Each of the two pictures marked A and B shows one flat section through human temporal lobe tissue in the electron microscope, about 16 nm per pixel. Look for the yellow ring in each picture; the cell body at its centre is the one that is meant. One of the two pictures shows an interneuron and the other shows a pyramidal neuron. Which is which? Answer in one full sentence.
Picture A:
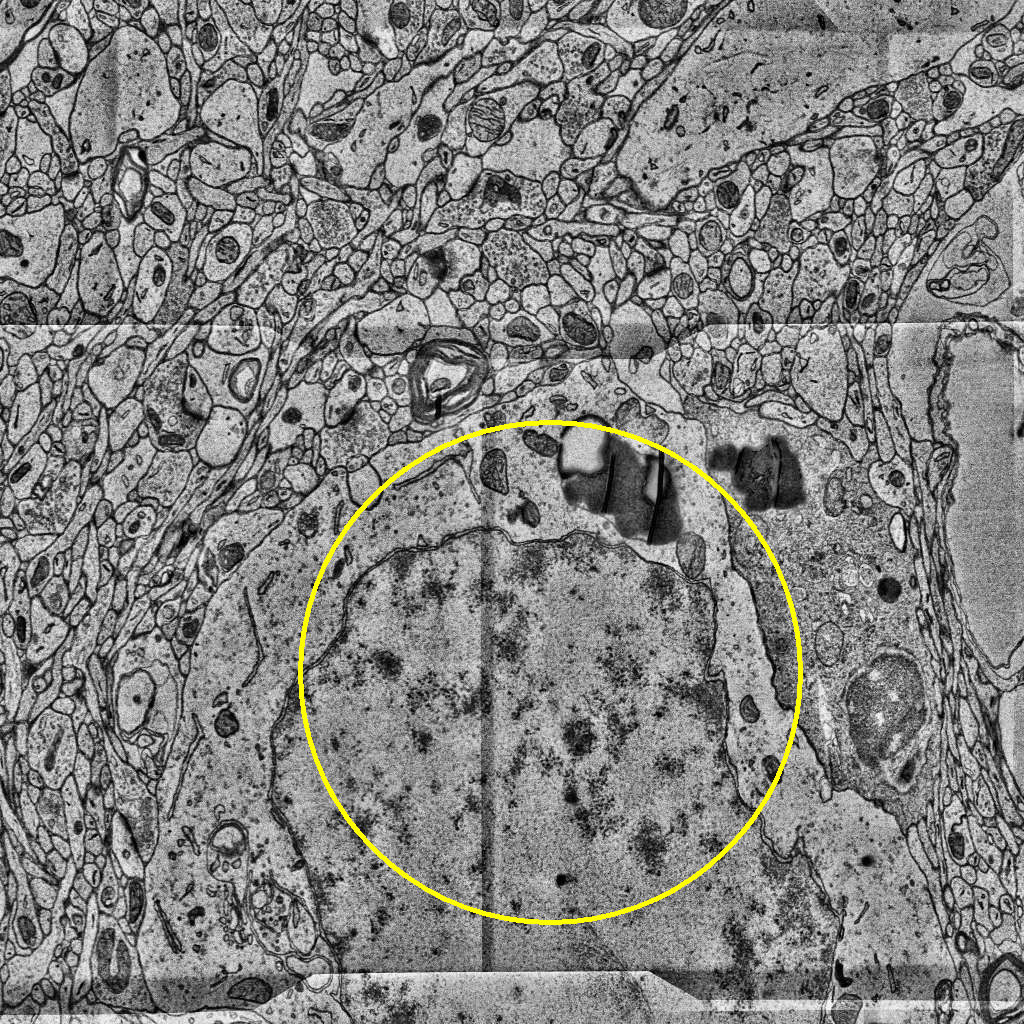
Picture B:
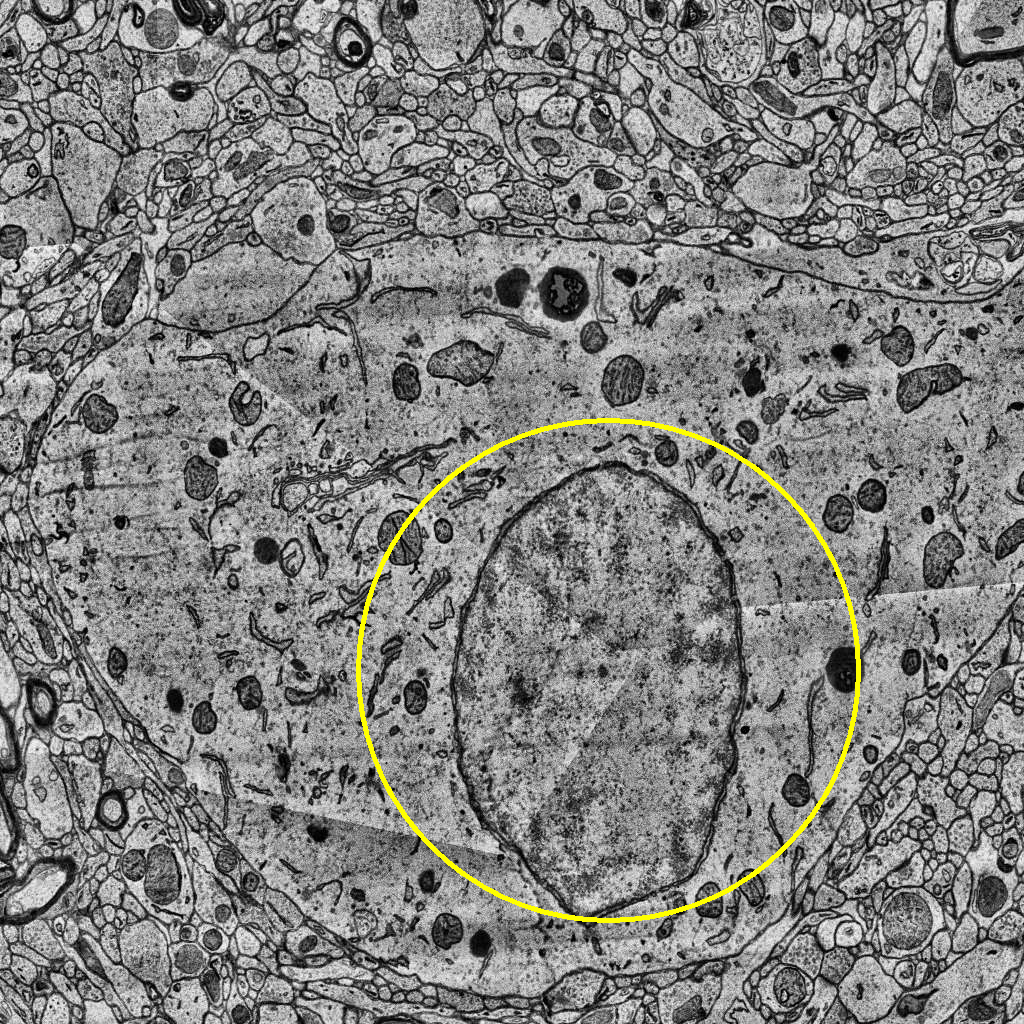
In picture A the cell is an interneuron; in picture B, a pyramidal neuron.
